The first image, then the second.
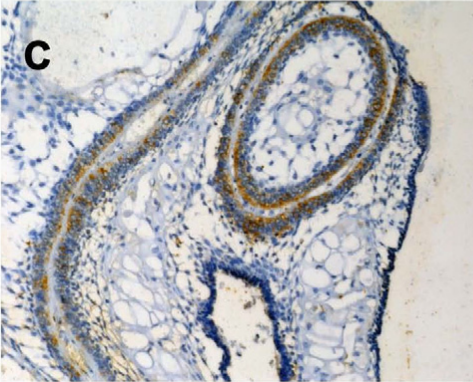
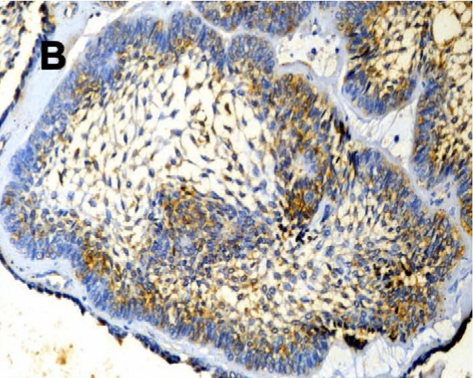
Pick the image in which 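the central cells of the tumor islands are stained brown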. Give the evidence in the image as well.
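First image: the cells inside the epithelial strands are pale blue, brown only at the edge. Second image: the cells in the centre of the island carry brown stain. The answer: the second image.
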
